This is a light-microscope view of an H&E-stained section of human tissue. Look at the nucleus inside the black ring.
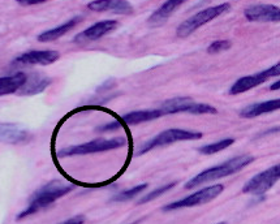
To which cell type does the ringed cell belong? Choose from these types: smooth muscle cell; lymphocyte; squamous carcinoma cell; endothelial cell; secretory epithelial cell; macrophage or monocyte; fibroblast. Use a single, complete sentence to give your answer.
At the level of cell identity, the ringed cell is a fibroblast.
